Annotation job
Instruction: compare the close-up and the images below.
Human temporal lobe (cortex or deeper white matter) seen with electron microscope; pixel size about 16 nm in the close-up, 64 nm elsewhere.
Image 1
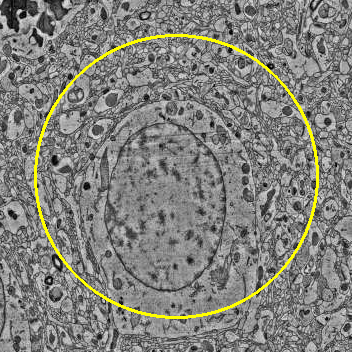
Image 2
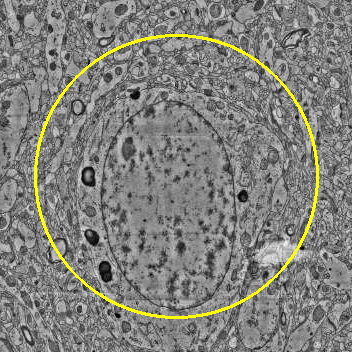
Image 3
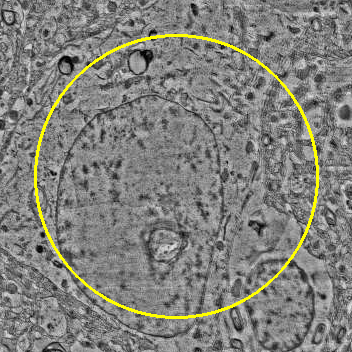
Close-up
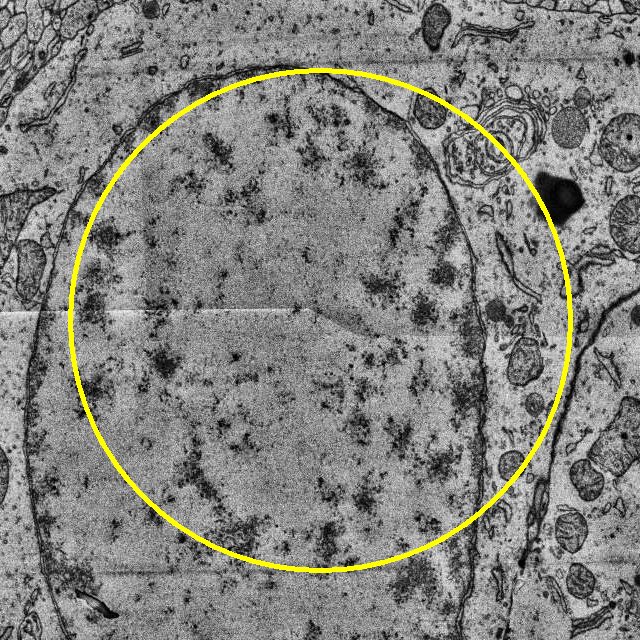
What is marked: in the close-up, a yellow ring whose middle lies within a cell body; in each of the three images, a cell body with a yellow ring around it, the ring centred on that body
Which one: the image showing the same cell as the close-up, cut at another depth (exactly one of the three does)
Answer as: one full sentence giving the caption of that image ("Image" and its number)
The close-up cell is the one indicated by the ring in Image 2.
